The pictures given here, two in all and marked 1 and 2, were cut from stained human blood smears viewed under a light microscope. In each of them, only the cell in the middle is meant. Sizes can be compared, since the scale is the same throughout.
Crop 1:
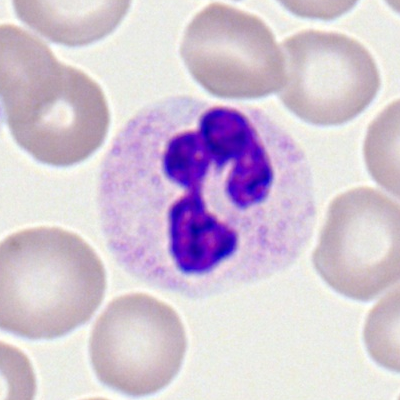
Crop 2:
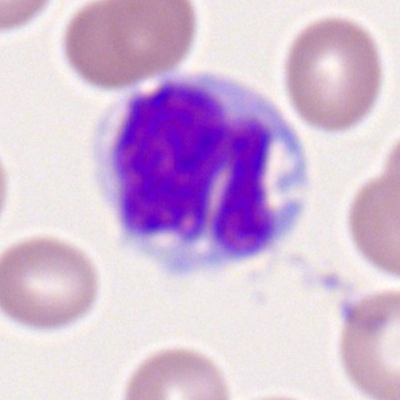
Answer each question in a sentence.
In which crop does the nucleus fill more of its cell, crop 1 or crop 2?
Of the two, the nucleus in crop 2 makes up the greater part of its cell.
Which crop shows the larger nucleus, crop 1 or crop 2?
Crop 2 shows the larger nucleus; it covers about 1.5 times the area of the nucleus in crop 1.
